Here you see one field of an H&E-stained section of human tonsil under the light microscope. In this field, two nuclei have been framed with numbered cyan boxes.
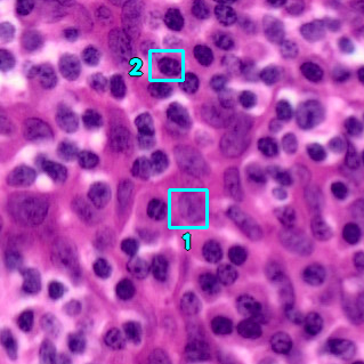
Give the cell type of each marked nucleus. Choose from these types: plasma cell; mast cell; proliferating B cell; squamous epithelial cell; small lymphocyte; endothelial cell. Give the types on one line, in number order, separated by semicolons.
squamous epithelial cell; plasma cell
